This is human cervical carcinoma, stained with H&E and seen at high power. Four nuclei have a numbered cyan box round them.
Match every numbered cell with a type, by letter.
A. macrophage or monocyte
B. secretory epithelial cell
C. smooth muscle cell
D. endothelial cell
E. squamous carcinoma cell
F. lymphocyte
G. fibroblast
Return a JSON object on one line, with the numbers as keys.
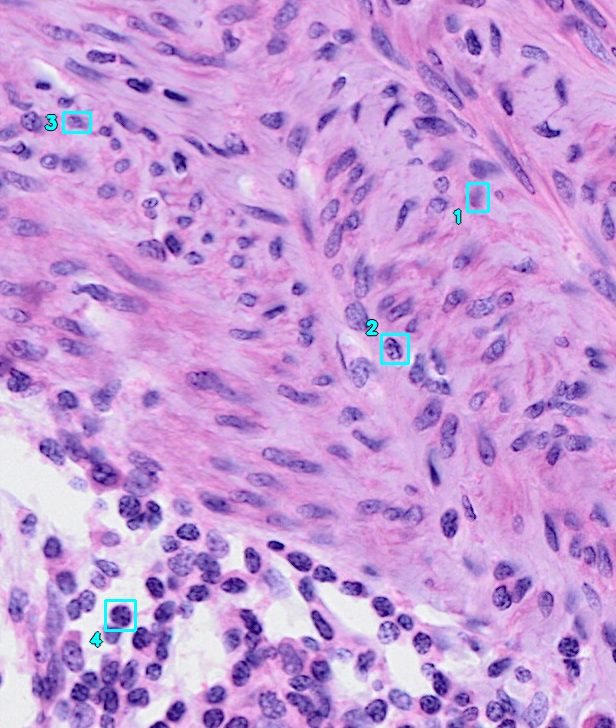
{"1": "C", "2": "F", "3": "C", "4": "F"}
